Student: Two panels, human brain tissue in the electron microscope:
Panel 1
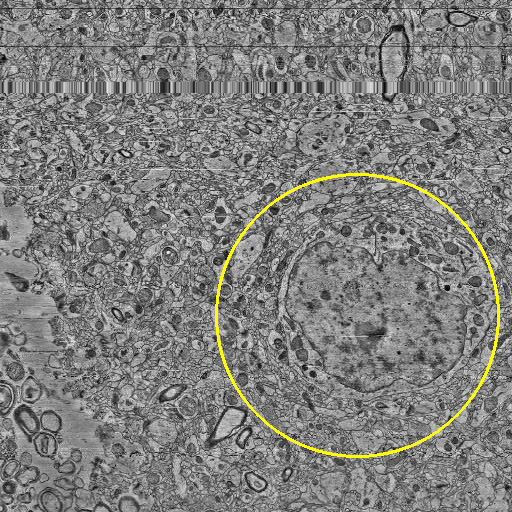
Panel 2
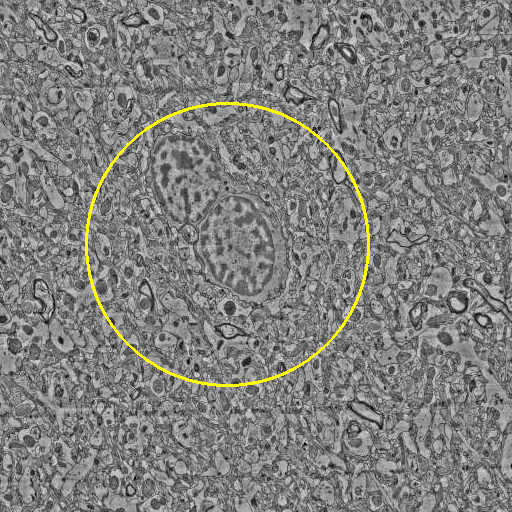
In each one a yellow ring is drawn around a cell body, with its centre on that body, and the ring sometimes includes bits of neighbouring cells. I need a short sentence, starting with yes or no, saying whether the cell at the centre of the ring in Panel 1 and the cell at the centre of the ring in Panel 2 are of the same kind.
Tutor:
No, they are two kinds of cell.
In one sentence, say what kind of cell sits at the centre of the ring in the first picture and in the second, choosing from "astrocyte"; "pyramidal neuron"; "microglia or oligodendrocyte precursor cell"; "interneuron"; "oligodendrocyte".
The first picture's ringed cell is an interneuron, while the second picture's is an oligodendrocyte.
